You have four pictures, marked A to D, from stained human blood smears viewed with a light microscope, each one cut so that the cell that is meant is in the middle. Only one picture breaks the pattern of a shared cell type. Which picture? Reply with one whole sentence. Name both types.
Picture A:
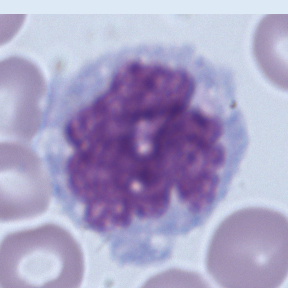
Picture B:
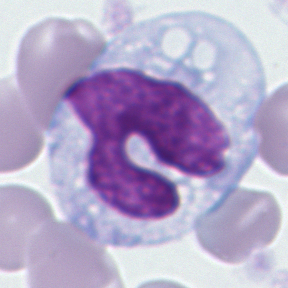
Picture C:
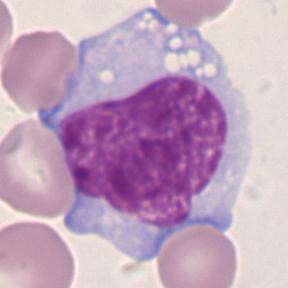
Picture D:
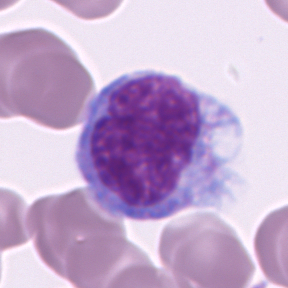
All pictures except C show monocytes; picture C shows a myeloblast.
